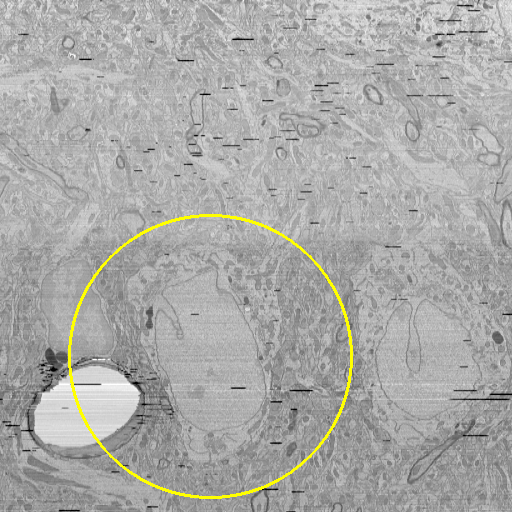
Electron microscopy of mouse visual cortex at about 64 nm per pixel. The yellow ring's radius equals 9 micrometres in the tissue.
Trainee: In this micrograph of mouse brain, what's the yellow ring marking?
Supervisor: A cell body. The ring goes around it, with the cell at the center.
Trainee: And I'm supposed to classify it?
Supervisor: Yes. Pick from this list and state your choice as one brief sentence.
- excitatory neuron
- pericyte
The cell at the ring's center is an excitatory neuron.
